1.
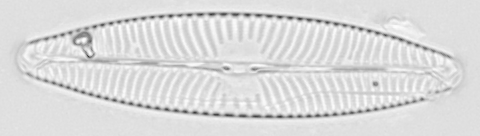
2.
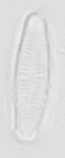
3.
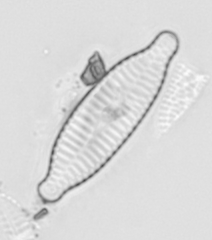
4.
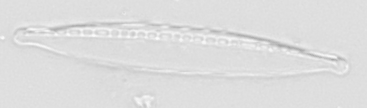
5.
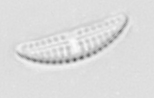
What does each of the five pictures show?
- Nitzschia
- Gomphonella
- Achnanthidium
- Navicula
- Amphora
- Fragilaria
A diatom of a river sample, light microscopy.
Picture 1: Navicula
Picture 2: Achnanthidium
Picture 3: Fragilaria
Picture 4: Nitzschia
Picture 5: Amphora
